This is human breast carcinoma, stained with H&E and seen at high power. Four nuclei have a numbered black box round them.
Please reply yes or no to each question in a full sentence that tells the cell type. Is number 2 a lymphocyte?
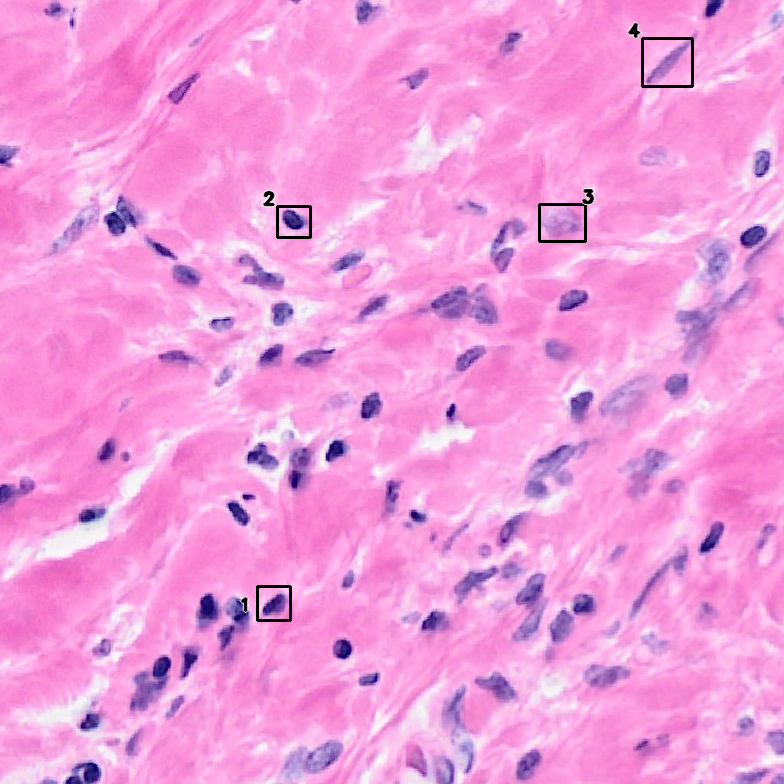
Yes, the number 2 belongs to a lymphocyte.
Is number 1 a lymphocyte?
Yes, the numbered cell 1 is a lymphocyte.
